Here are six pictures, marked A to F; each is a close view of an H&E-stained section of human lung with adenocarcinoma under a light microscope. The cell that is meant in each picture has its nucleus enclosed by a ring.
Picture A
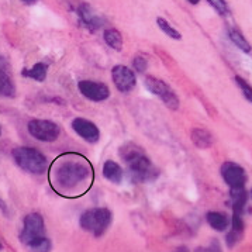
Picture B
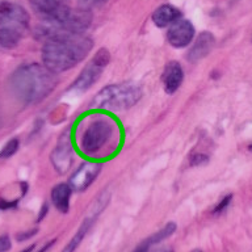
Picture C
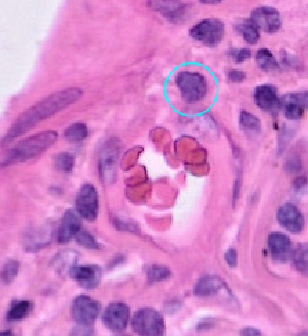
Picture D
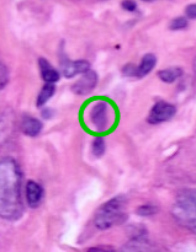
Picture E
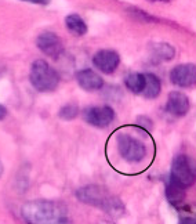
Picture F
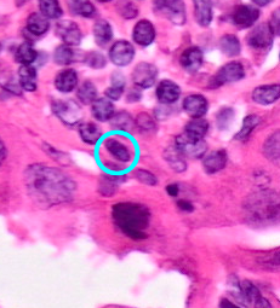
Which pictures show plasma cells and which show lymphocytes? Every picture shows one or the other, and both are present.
A: plasma cell
B: plasma cell
C: lymphocyte
D: lymphocyte
E: lymphocyte
F: lymphocyte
